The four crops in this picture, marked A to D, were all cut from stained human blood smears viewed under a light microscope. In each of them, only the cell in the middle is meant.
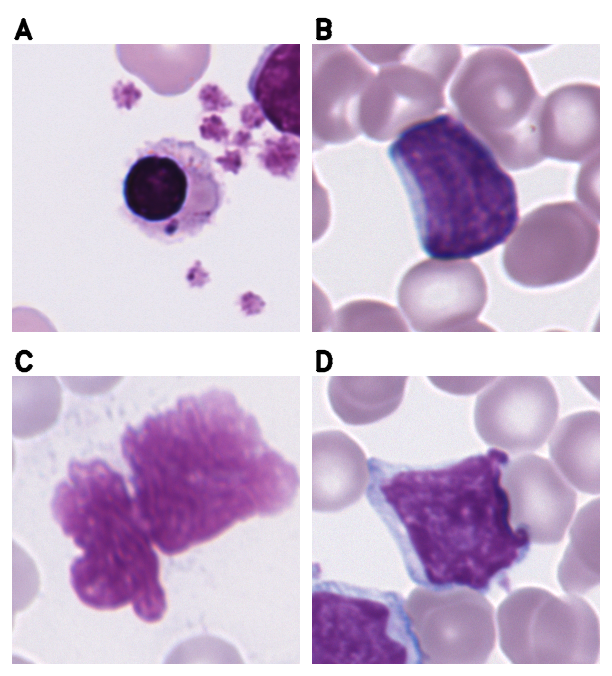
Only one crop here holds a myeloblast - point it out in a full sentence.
When the crops are compared, crop B is the one showing a myeloblast.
